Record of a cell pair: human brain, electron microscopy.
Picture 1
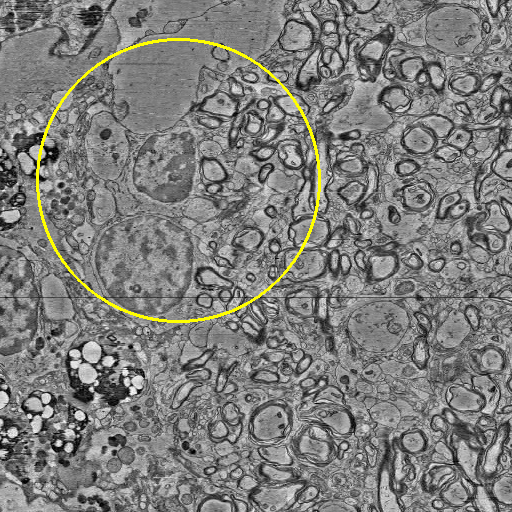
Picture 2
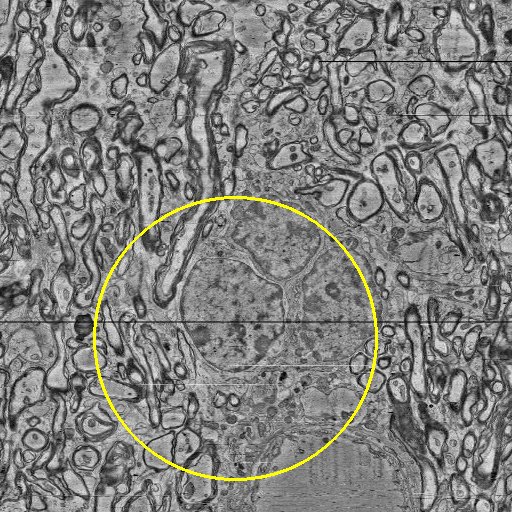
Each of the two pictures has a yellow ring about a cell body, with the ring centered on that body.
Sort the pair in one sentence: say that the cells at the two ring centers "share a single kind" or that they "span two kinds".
The cells centered in the rings of Pictures 1 and 2 share a single kind.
